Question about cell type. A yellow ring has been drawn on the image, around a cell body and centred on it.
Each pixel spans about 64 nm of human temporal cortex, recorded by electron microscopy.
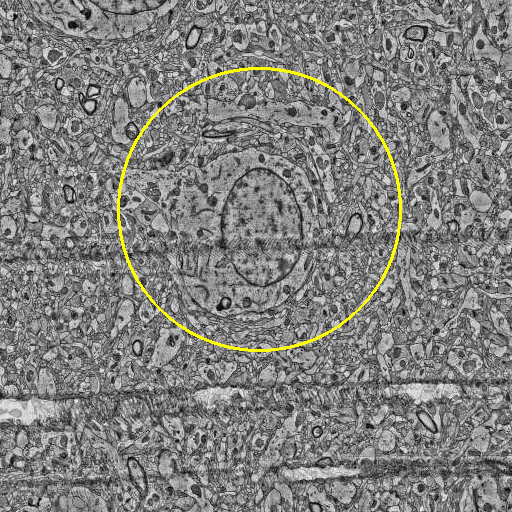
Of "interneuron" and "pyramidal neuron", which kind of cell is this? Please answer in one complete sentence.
At the centre of the ring lies a pyramidal neuron.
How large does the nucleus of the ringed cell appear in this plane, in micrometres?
The nucleus has a long axis of about 8 micrometres and a short axis of about 5 micrometres in this plane.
